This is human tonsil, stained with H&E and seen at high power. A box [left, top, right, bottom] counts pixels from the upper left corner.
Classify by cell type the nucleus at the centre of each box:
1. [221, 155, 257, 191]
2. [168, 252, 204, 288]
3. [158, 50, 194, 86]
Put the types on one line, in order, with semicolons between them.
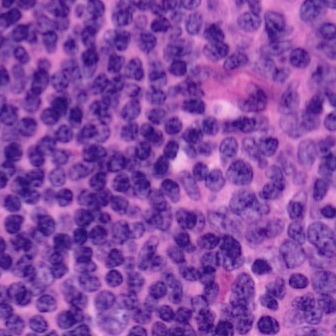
proliferating B cell; small lymphocyte; small lymphocyte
